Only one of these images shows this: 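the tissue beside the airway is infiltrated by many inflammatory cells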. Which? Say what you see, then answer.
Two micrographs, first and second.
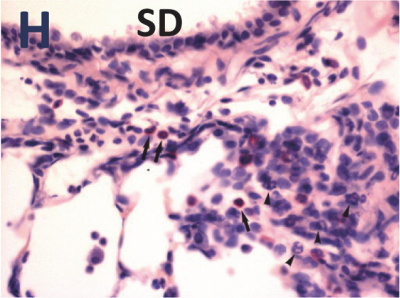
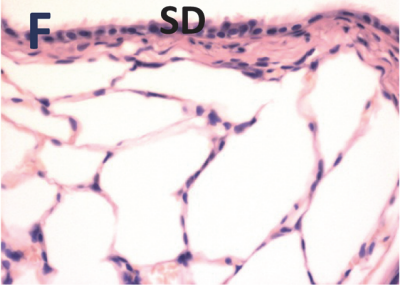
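The first image. First image: clusters of small round nucleated cells fill the tissue beneath the epithelium and around the alveoli. Second image: thin alveolar walls and a thin airway wall with no cell infiltrate.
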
